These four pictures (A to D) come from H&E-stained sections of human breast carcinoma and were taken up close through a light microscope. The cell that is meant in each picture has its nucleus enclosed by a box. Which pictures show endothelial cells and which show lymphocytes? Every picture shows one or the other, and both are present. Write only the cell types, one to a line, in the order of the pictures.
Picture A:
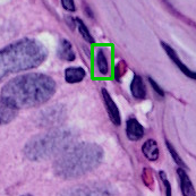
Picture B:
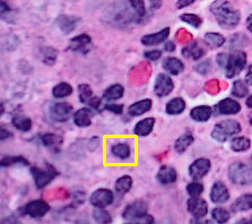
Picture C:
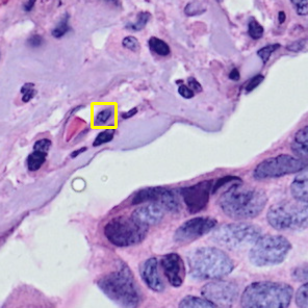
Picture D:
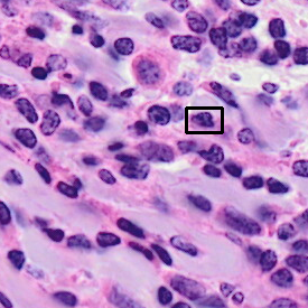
endothelial cell
lymphocyte
endothelial cell
lymphocyte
